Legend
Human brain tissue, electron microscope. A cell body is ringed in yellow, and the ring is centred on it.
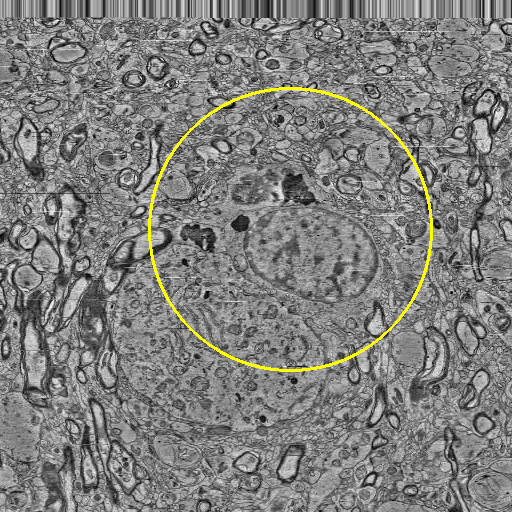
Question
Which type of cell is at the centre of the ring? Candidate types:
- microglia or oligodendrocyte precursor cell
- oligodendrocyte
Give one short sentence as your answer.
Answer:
The yellow ring is centred here on an oligodendrocyte.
